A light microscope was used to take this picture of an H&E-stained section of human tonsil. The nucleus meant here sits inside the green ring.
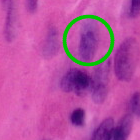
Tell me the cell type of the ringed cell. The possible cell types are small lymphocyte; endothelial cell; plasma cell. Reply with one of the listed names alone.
endothelial cell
